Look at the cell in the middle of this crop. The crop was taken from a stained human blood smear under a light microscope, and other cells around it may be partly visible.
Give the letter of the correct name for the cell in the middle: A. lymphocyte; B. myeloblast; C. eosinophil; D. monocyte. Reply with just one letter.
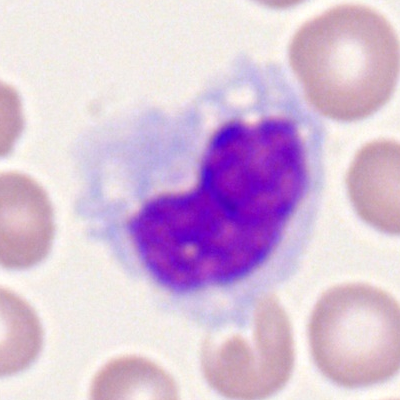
D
